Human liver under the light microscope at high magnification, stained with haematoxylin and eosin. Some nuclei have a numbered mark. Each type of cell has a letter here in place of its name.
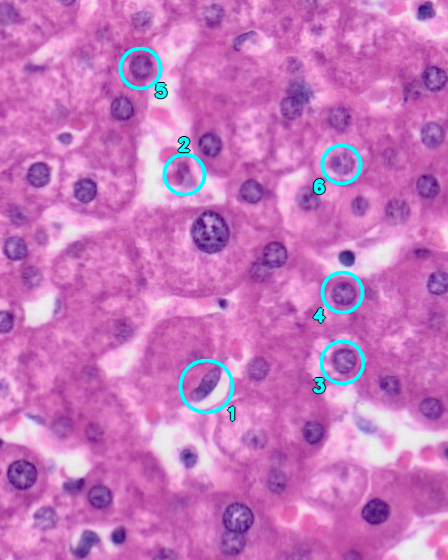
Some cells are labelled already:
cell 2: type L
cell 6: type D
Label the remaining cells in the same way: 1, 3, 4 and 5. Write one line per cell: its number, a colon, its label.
1: type L
3: type D
4: type D
5: type D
